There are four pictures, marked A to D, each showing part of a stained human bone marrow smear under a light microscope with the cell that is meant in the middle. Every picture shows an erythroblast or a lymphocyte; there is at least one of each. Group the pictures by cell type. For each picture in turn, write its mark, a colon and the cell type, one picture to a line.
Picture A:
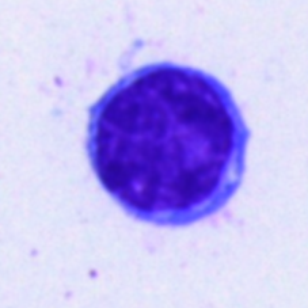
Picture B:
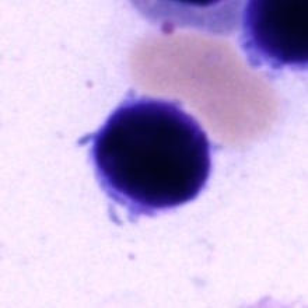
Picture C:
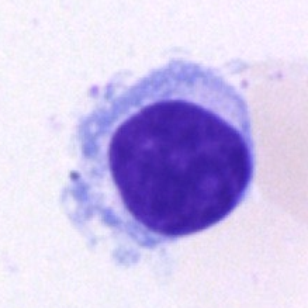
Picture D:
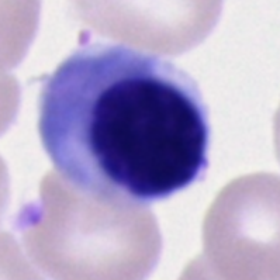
A: lymphocyte
B: lymphocyte
C: lymphocyte
D: erythroblast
